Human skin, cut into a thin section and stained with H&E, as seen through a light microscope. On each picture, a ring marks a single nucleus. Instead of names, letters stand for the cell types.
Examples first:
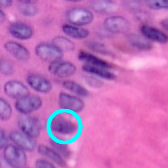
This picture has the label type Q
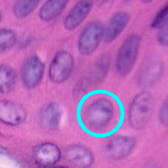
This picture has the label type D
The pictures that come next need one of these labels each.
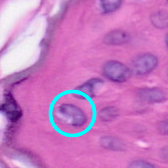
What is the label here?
type D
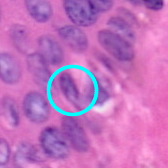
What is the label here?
type Q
